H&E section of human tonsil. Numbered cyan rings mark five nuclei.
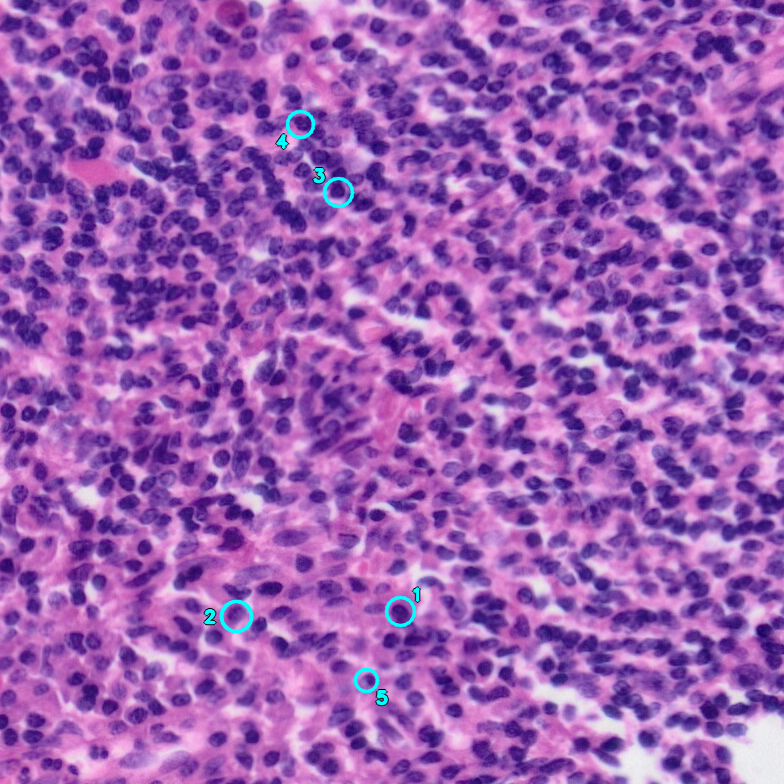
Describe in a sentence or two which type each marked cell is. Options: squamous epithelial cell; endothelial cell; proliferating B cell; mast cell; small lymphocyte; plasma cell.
Cell 1 is a plasma cell, cell 2 is a plasma cell, cell 3 is a small lymphocyte, cell 4 is a small lymphocyte and cell 5 is a plasma cell.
